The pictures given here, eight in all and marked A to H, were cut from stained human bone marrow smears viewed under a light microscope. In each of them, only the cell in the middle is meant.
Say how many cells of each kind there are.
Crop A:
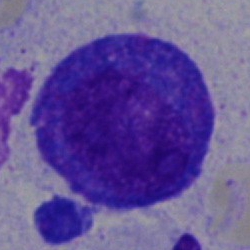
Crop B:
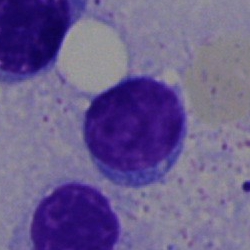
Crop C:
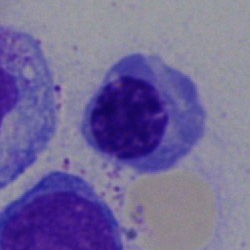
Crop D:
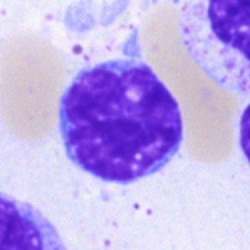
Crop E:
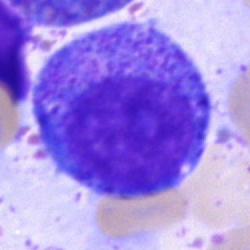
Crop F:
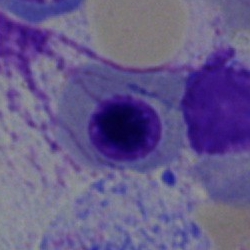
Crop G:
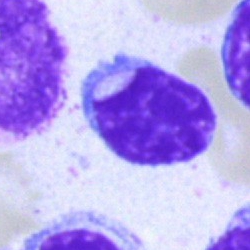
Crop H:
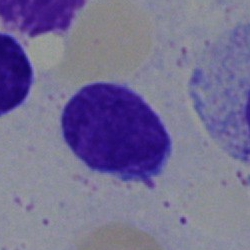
lymphocyte: 4
promyelocyte: 2
erythroblast: 2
